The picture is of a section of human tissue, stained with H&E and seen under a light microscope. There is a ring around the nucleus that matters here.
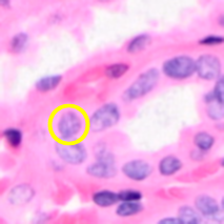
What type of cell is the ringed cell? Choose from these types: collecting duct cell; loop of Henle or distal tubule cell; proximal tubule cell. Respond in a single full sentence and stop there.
In this section, the ringed cell is a collecting duct cell.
